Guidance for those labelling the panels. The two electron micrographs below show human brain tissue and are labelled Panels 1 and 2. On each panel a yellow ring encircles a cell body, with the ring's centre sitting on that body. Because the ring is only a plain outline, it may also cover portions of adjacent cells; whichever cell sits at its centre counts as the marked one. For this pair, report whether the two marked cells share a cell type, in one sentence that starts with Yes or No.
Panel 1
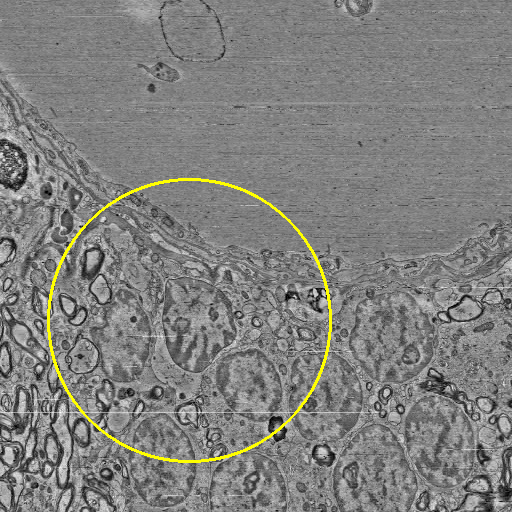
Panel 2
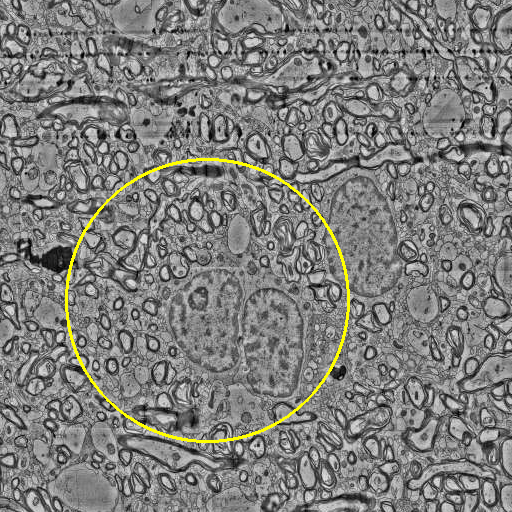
No, in Panel 1 and Panel 2 the marked cells at the ring centres are of two types.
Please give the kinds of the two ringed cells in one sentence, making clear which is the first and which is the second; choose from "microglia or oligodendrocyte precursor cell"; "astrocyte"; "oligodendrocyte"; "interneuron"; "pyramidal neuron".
In the second picture the ringed cell is an oligodendrocyte; in the first it is a microglial cell or oligodendrocyte precursor cell.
